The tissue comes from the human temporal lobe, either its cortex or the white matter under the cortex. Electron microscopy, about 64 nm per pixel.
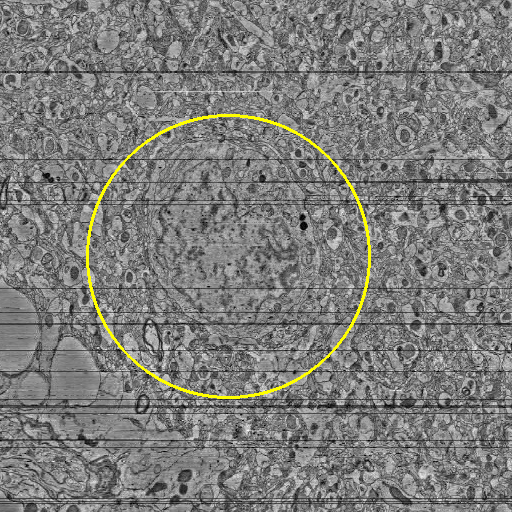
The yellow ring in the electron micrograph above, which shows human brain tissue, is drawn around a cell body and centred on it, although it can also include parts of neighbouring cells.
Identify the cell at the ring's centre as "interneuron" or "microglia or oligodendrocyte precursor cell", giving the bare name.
interneuron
